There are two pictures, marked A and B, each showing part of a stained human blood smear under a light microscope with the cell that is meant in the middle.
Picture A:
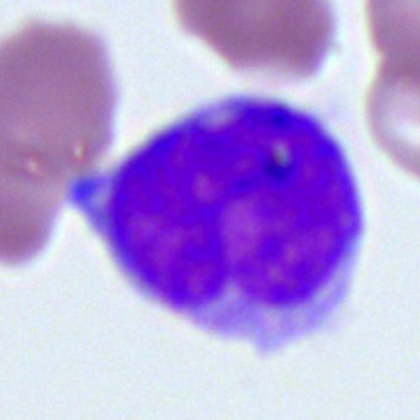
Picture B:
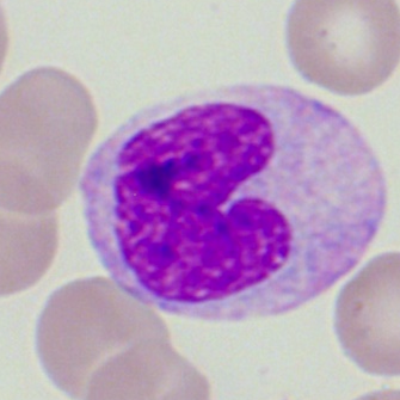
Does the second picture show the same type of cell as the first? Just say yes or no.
yes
